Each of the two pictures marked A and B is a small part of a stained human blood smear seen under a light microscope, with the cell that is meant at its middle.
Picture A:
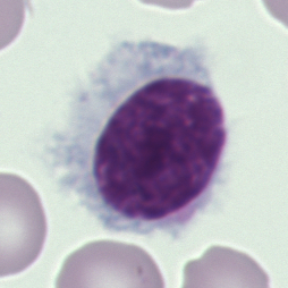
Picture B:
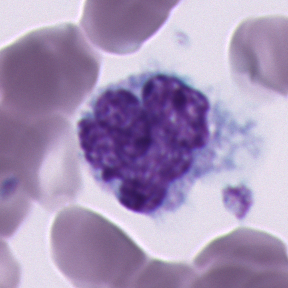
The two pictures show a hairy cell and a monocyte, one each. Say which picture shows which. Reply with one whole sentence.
Picture B shows a monocyte, while picture A shows a hairy cell.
